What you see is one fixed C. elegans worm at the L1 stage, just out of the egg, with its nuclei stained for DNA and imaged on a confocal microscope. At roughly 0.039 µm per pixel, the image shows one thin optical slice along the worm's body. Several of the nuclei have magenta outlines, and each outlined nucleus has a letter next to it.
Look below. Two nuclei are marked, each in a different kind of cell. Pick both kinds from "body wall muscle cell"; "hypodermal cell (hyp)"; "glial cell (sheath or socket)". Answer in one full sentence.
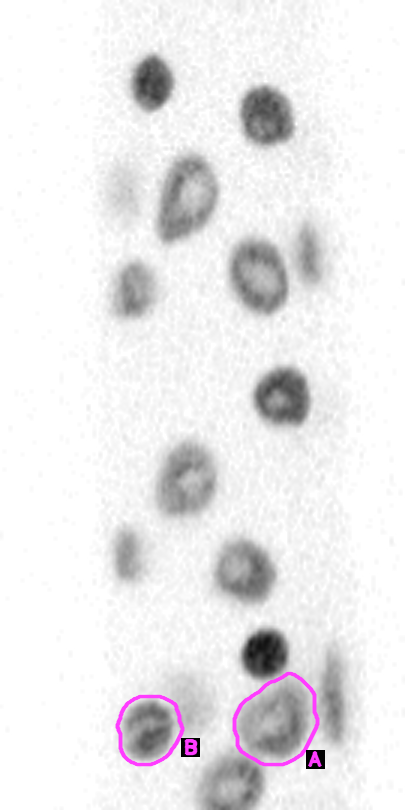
A is from a hypodermal cell (hyp), and B is from a body wall muscle cell.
